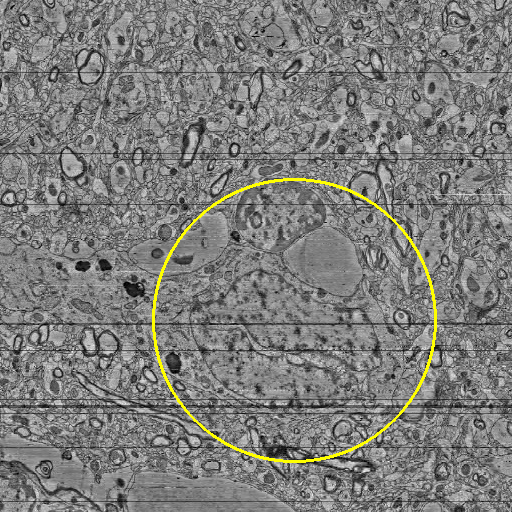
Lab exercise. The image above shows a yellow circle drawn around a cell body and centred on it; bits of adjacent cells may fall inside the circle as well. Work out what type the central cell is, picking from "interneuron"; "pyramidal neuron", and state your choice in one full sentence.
In the image above, the cell at the centre of the yellow circle is an interneuron.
